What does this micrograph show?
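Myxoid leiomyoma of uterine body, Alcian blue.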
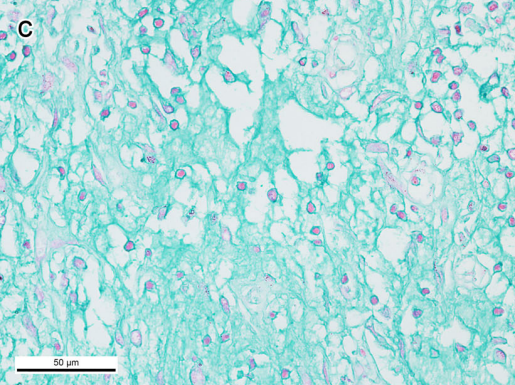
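A lacy, blue-green network of extracellular material fills most of the field, with clear empty spaces between its strands. Small round nuclei stained pink-red are scattered evenly through it, without compact bundles of cells.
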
